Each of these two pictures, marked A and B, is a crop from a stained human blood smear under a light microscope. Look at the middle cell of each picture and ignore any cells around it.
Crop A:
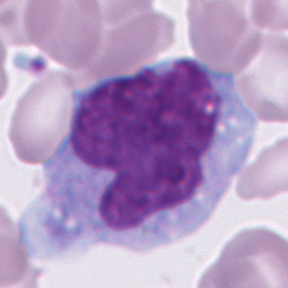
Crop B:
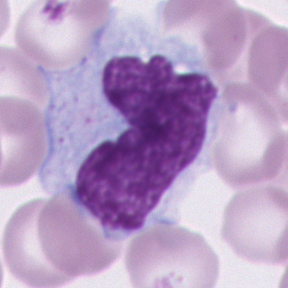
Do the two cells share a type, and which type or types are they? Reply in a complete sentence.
Yes, the pair of crops both show monocytes.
